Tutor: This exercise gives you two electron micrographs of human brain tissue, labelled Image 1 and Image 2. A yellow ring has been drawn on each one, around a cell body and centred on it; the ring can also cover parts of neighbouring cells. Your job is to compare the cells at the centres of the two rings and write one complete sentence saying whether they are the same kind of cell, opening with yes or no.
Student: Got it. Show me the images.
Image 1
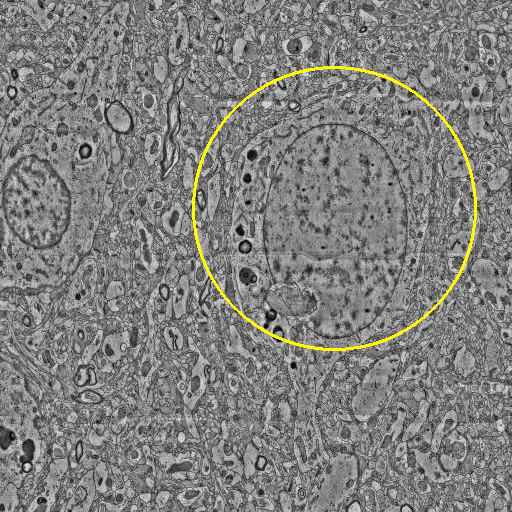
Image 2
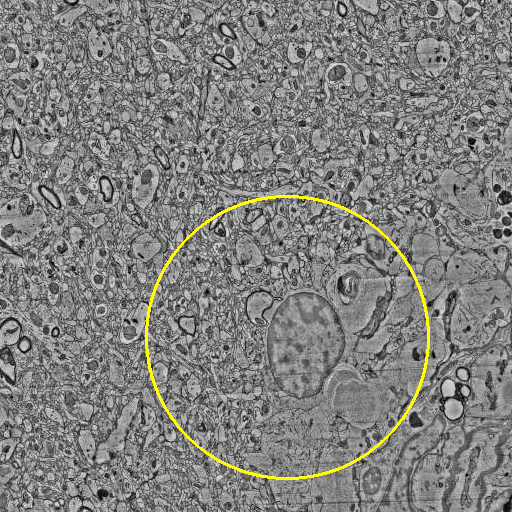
No, the two cells belong to two kinds.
